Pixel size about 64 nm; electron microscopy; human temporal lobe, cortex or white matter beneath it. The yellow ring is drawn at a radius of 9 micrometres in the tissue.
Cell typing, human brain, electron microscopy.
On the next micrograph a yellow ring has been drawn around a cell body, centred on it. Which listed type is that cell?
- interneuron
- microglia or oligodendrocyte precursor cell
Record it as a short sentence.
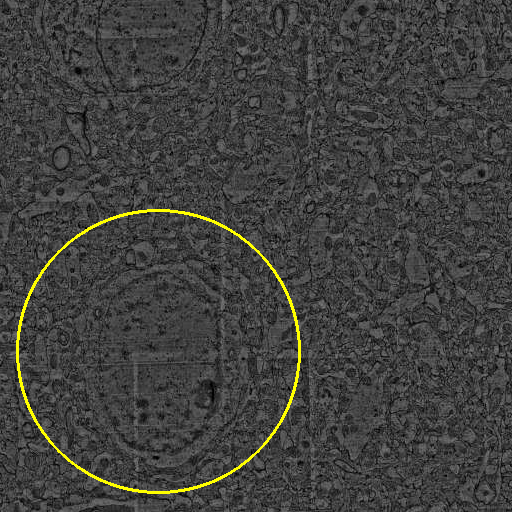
The cell body in the ring's centre belongs to an interneuron.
